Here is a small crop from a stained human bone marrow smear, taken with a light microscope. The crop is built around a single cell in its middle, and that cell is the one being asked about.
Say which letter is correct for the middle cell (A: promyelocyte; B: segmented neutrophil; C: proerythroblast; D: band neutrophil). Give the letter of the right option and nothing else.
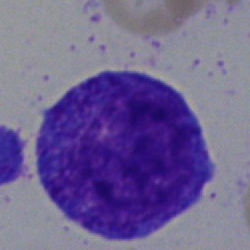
A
